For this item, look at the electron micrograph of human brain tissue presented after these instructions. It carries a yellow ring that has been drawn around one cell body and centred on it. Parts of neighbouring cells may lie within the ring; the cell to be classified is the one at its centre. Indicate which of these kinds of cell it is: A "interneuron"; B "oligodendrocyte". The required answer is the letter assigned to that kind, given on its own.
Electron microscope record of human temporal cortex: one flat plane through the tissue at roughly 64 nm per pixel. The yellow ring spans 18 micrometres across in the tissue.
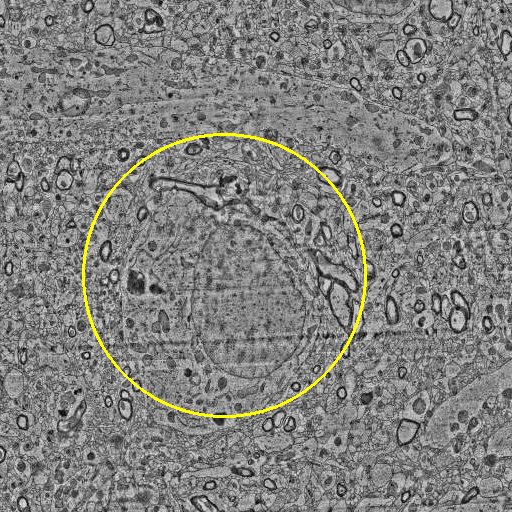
A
